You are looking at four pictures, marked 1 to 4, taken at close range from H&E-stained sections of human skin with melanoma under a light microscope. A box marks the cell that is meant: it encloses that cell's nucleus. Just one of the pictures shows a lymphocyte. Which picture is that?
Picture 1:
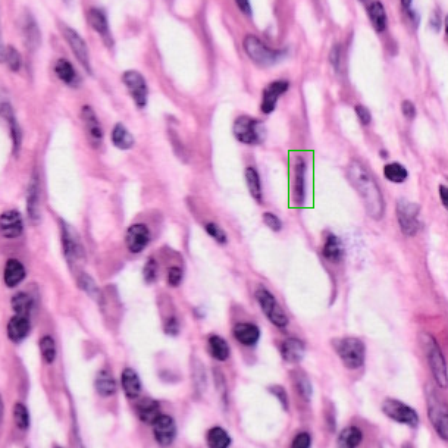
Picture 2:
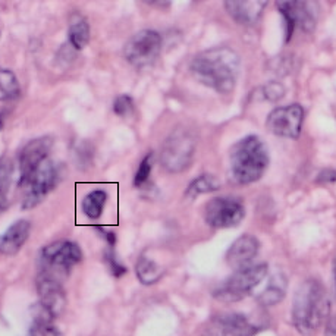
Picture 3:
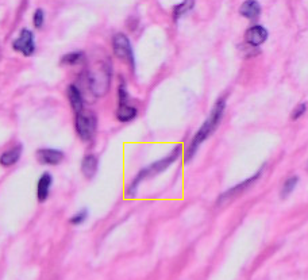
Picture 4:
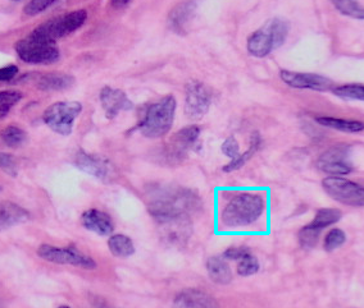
2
